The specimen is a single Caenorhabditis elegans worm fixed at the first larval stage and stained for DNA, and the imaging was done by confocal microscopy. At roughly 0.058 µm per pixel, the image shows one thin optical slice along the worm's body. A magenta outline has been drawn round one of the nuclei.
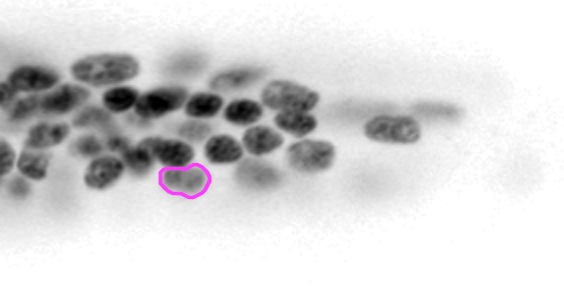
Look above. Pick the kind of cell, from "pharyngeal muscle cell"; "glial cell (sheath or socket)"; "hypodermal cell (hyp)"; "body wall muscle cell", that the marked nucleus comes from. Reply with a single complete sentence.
It belongs to a body wall muscle cell.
